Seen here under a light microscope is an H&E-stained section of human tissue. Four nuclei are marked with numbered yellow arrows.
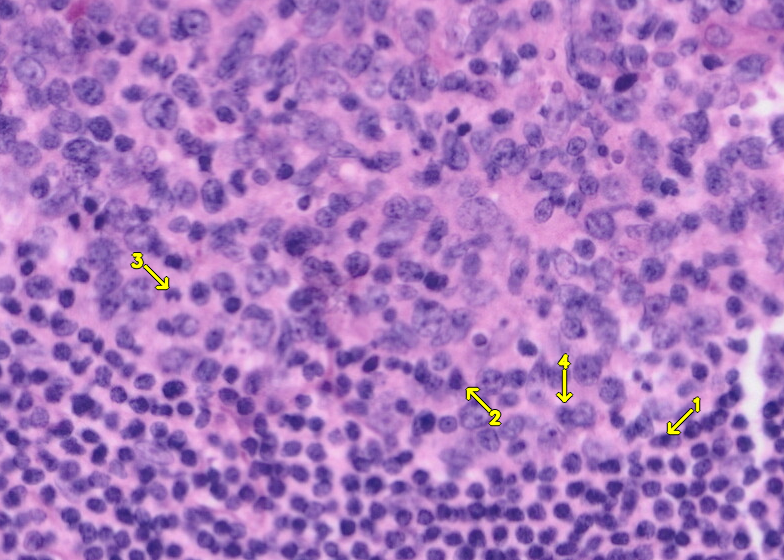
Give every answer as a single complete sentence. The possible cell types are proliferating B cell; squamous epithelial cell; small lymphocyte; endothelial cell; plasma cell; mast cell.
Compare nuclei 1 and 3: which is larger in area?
Nucleus 1 is larger, with an area about 1.5 times that of nucleus 3.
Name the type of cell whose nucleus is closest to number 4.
The nearest nucleus to number 4 belongs to a proliferating B cell.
